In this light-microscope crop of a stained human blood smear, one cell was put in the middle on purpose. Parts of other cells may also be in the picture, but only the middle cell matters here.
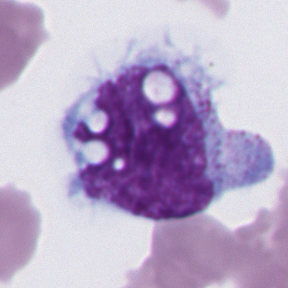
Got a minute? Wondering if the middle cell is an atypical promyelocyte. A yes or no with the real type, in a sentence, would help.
No, the middle cell is actually a monocyte rather than an atypical promyelocyte.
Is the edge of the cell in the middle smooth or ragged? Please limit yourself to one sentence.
The cytoplasmic margin is uneven, whether through ragged segments or through projections.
